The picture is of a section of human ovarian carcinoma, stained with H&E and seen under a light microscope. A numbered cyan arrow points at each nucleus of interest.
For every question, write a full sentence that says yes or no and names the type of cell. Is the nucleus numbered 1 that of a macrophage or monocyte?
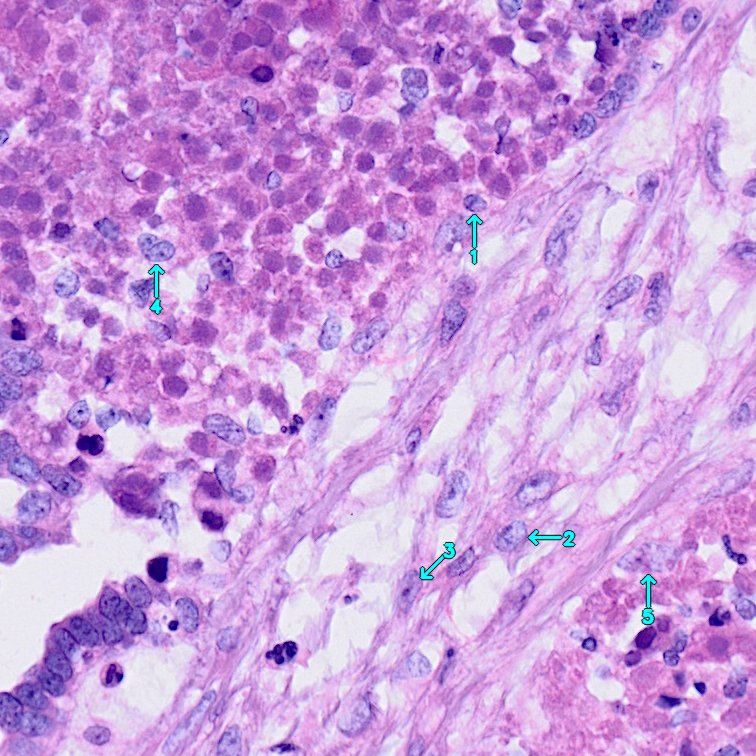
Yes, the one numbered 1 is a macrophage or monocyte.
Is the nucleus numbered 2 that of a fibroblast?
Yes, the one with the number 2 is a fibroblast.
